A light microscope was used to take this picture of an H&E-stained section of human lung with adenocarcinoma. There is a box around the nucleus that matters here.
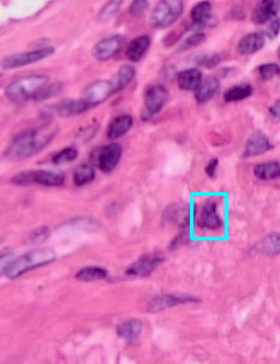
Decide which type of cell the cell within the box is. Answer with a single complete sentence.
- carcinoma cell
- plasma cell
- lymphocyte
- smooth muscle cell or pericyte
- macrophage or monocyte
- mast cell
In this field of tissue, the cell within the box is a plasma cell.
